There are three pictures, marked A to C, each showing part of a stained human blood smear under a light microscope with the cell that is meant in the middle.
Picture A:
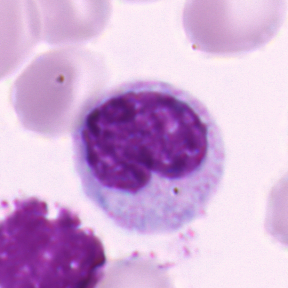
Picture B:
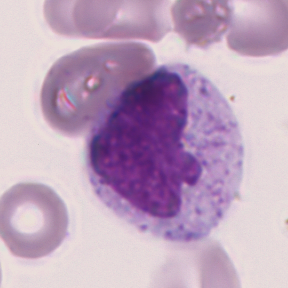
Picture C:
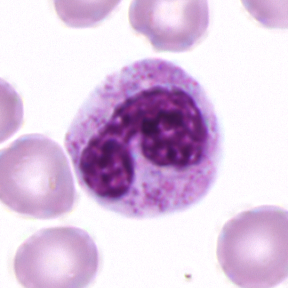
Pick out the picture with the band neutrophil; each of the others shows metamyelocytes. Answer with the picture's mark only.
C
